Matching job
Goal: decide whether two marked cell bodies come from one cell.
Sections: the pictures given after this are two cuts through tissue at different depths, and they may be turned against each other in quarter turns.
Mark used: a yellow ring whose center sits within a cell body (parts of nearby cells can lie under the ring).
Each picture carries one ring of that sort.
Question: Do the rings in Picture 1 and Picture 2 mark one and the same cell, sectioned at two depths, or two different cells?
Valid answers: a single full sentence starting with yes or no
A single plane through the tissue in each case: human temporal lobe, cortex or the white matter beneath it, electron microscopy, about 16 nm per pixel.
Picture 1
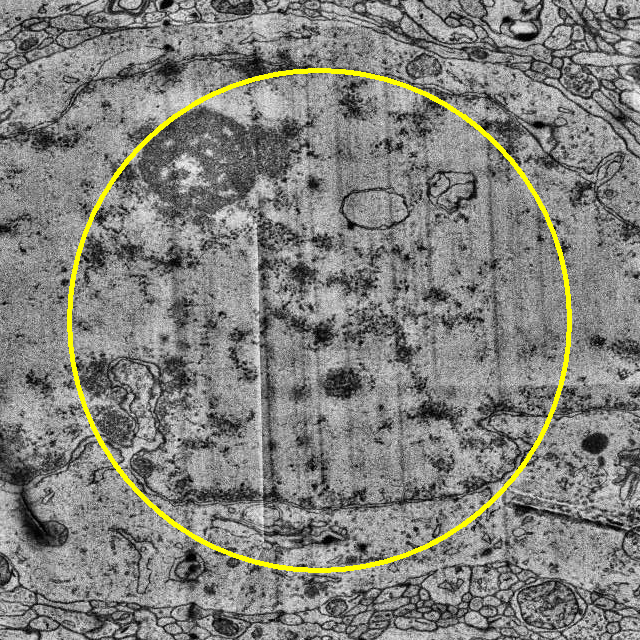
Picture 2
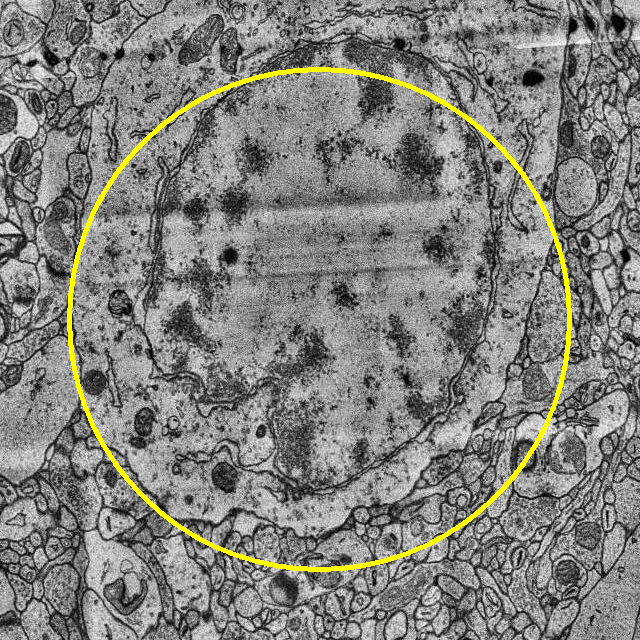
No, what the two rings mark is two different cells.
